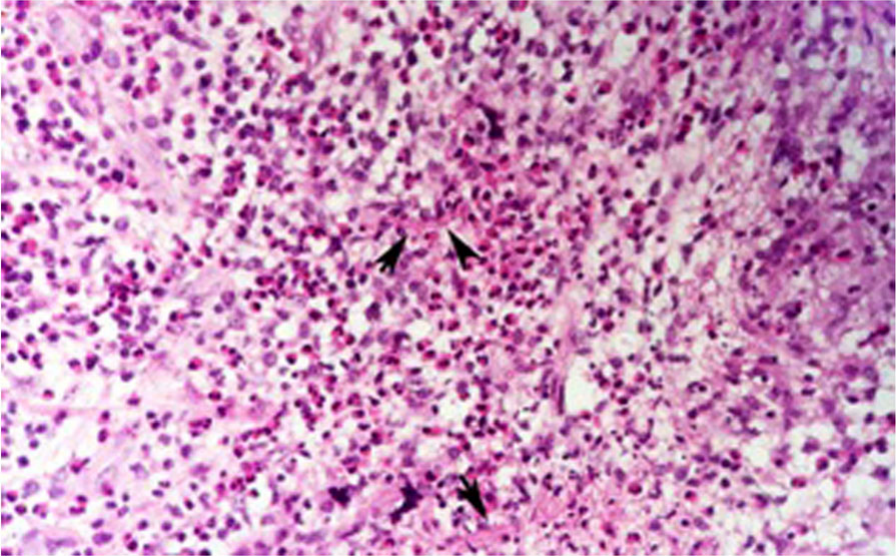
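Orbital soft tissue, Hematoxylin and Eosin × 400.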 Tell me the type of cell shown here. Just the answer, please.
Eosinophils.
